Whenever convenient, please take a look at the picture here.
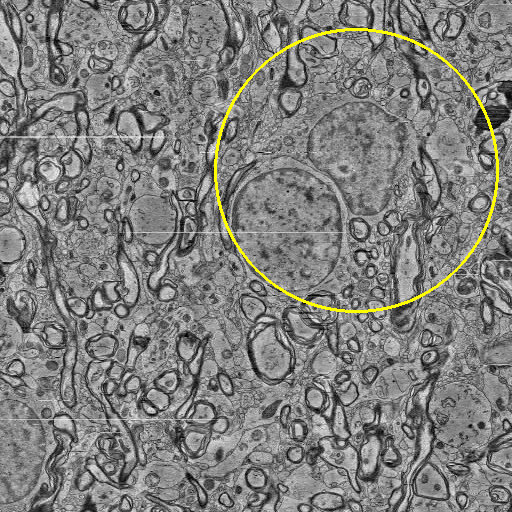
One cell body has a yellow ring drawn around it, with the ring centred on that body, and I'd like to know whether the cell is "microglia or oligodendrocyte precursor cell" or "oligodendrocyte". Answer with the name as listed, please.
oligodendrocyte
